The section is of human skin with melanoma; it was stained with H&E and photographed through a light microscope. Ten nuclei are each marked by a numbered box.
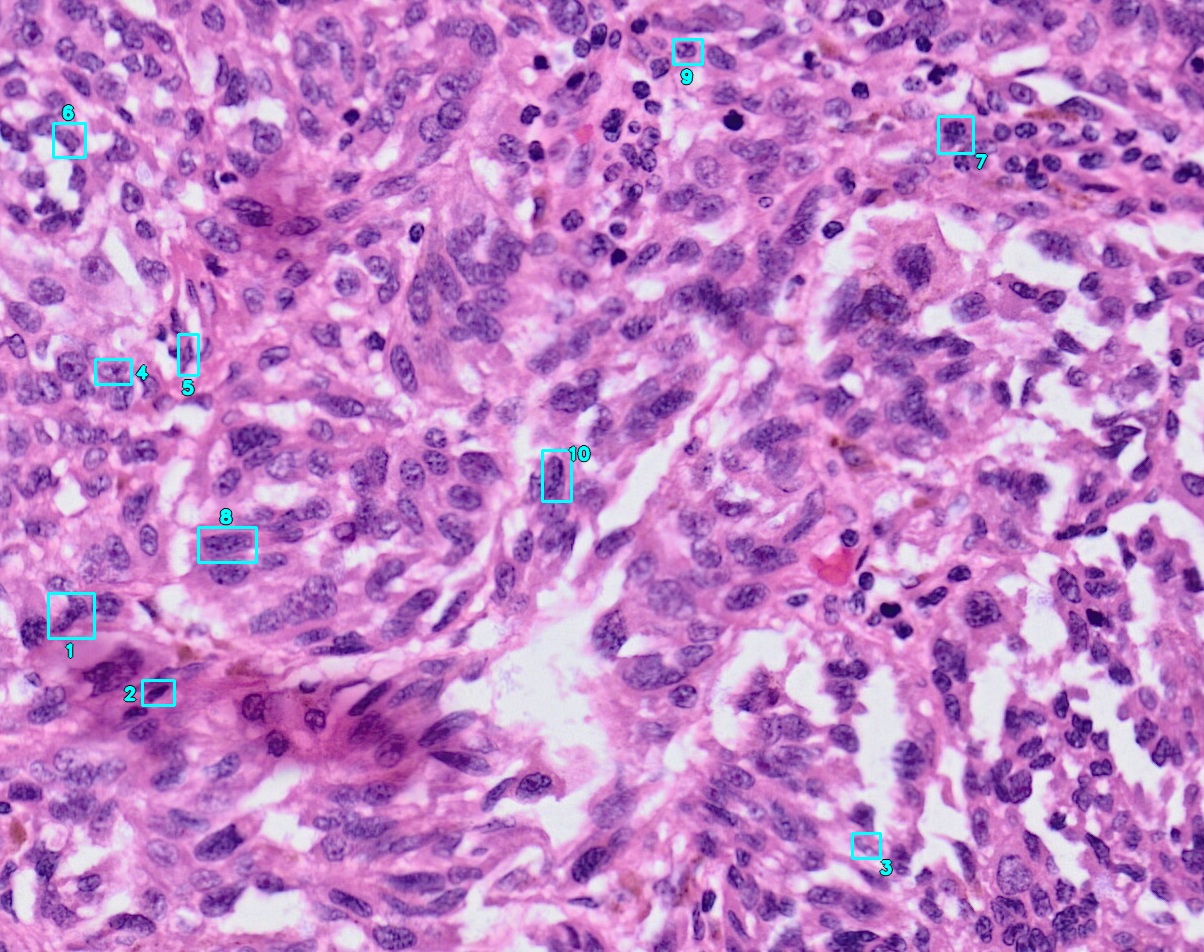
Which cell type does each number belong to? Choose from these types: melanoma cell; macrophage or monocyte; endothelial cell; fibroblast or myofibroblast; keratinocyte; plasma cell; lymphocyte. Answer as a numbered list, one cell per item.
1. melanoma cell
2. lymphocyte
3. melanoma cell
4. melanoma cell
5. endothelial cell
6. melanoma cell
7. plasma cell
8. melanoma cell
9. lymphocyte
10. melanoma cell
